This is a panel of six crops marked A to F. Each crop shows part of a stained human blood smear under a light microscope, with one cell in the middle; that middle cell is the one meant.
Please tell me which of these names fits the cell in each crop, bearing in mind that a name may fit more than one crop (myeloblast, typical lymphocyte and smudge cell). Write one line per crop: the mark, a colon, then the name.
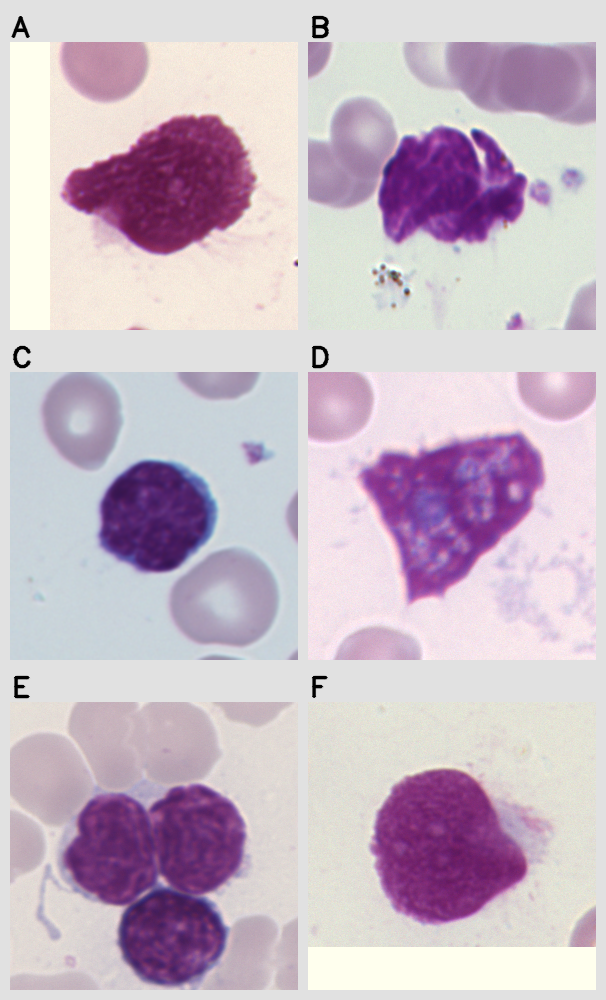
A: smudge cell
B: smudge cell
C: typical lymphocyte
D: smudge cell
E: myeloblast
F: smudge cell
